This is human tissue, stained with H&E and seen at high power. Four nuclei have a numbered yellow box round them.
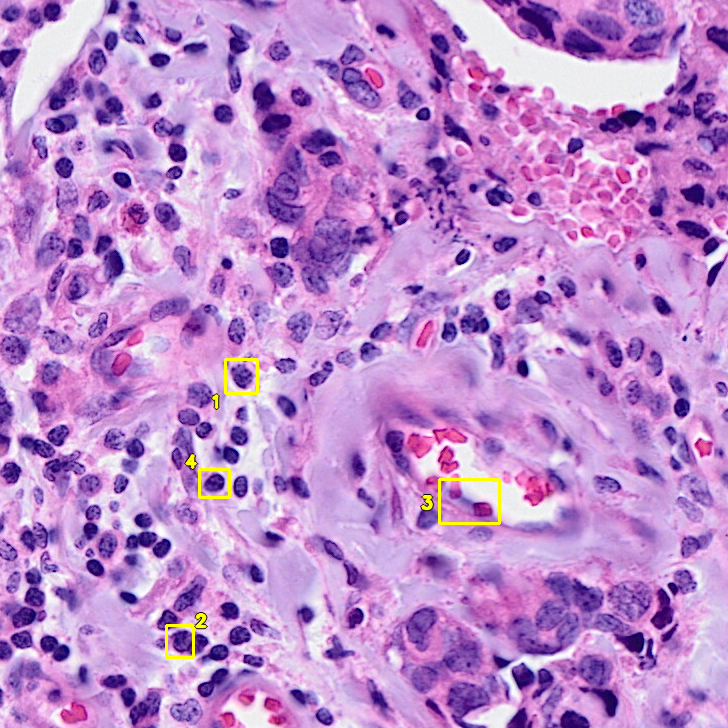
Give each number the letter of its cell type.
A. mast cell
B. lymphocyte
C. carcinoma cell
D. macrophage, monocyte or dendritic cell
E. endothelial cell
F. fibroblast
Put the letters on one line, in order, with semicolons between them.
B; B; E; B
